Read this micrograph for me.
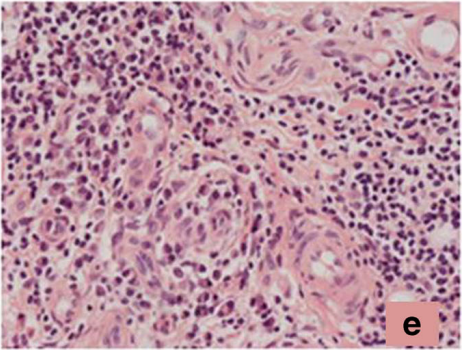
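This is inflamed soft tissue in which small vessels are surrounded by dense aggregates of lymphocytes and plasma cells. Most infiltrating cells are small and round with dark purple, compact nuclei and little cytoplasm. Some cells have more pink cytoplasm with the nucleus set off to one side. The small vessels have narrow lumina and walls of plump, elongated cells arranged in concentric layers.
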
